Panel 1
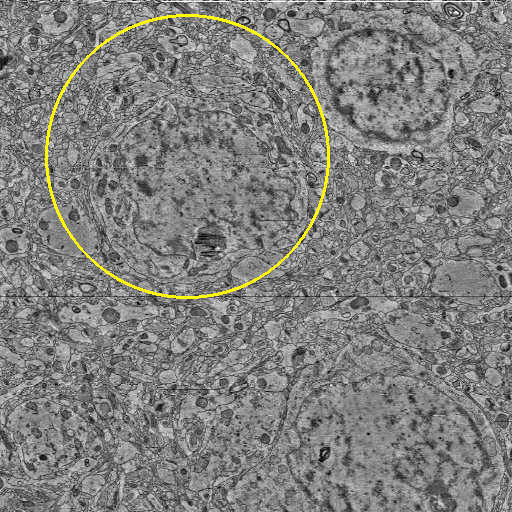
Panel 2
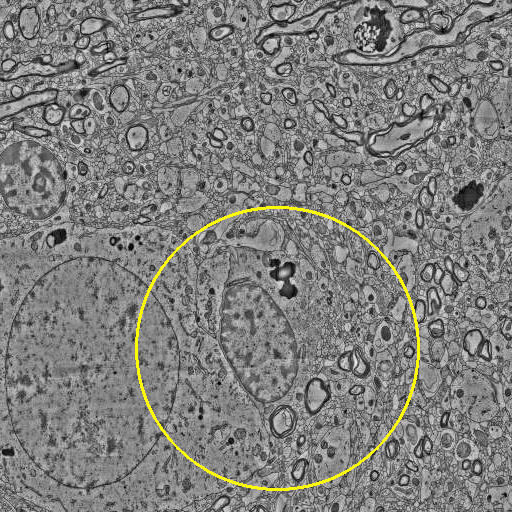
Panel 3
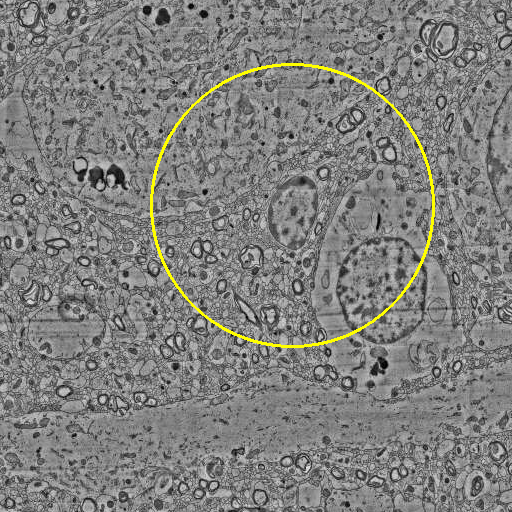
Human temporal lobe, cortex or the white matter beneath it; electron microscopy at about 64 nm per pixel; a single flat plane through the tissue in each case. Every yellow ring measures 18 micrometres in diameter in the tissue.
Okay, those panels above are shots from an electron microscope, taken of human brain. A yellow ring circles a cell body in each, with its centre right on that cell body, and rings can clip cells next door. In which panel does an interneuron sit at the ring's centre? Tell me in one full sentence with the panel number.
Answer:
The cell you asked for sits at the ring's centre in panel 1.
